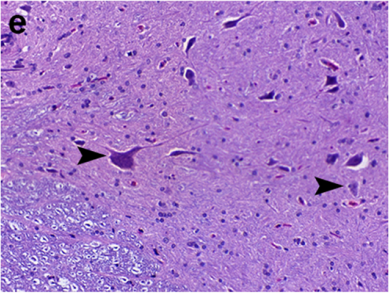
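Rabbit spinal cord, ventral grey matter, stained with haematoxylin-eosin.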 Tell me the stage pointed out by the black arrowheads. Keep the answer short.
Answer: Necrotic or dead motor neurons.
